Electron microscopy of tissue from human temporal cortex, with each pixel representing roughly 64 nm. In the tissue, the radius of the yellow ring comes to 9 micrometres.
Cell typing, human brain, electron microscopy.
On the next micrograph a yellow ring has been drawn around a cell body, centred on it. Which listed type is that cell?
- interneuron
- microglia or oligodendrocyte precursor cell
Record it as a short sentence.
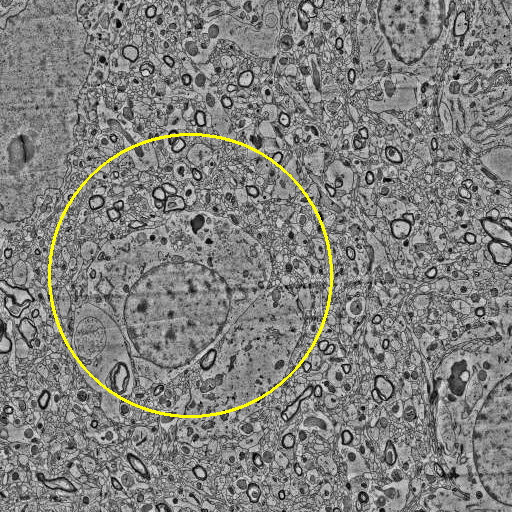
The cell body in the ring's centre belongs to an interneuron.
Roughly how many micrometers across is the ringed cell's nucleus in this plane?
In this plane, the nucleus is roughly 7 by 6 micrometres.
